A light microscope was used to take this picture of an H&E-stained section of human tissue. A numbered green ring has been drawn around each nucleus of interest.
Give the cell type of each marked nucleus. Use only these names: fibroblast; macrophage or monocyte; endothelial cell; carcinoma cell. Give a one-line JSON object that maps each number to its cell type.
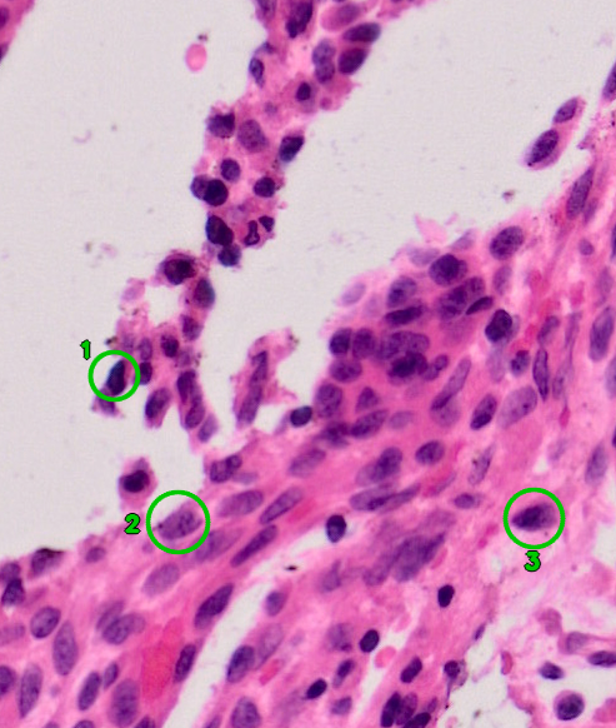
{"1": "carcinoma cell", "2": "macrophage or monocyte", "3": "fibroblast"}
